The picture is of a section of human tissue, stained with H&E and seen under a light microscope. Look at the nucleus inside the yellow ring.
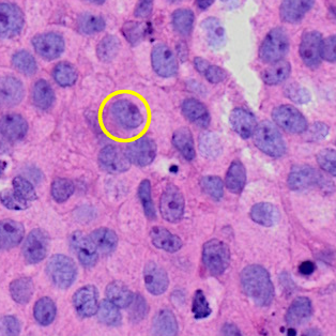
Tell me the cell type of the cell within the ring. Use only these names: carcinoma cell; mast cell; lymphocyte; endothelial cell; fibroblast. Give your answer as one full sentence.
At the level of cell identity, the cell within the ring is a carcinoma cell.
